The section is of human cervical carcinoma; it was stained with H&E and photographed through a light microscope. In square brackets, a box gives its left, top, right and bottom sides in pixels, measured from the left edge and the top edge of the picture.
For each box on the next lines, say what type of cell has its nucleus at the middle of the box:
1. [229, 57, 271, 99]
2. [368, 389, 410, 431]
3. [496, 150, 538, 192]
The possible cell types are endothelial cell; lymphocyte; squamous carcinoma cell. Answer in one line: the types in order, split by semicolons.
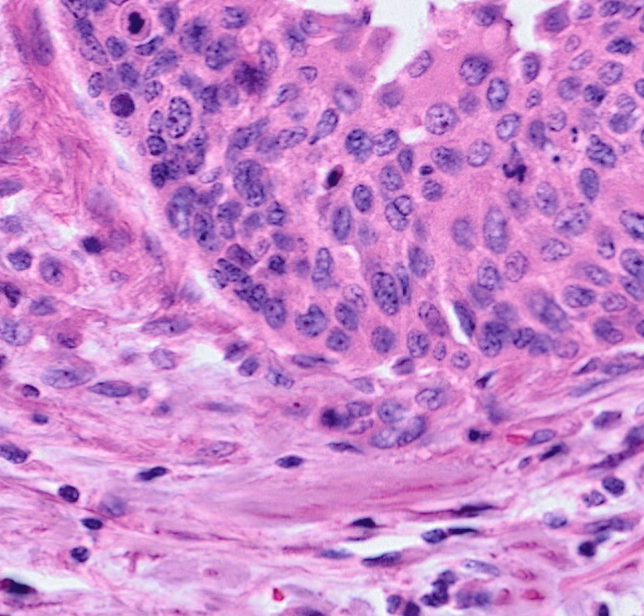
squamous carcinoma cell; endothelial cell; squamous carcinoma cell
